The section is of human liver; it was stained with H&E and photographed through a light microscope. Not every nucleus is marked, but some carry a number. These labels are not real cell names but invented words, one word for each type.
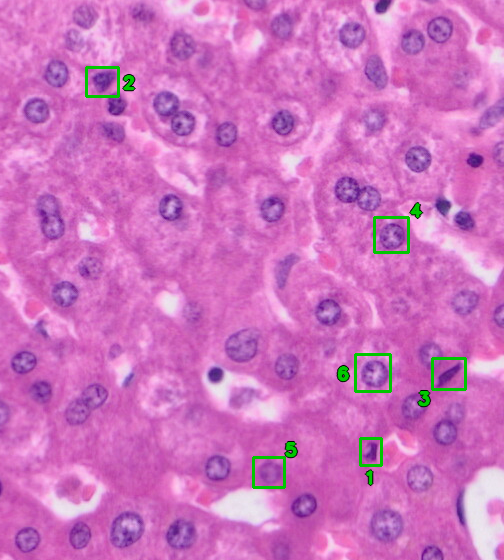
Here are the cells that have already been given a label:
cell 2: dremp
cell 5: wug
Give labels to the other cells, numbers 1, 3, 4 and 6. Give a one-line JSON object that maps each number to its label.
{"1": "dremp", "3": "dremp", "4": "wug", "6": "wug"}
